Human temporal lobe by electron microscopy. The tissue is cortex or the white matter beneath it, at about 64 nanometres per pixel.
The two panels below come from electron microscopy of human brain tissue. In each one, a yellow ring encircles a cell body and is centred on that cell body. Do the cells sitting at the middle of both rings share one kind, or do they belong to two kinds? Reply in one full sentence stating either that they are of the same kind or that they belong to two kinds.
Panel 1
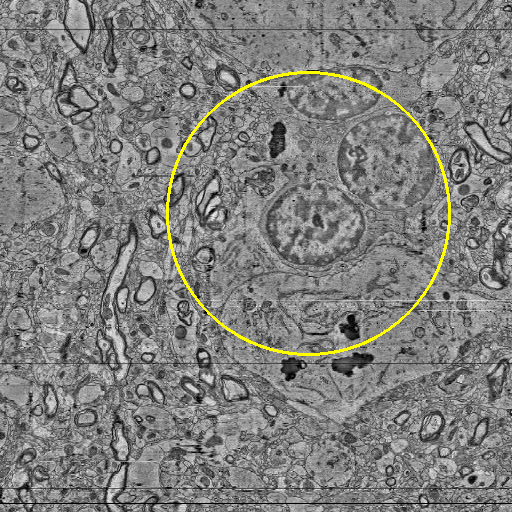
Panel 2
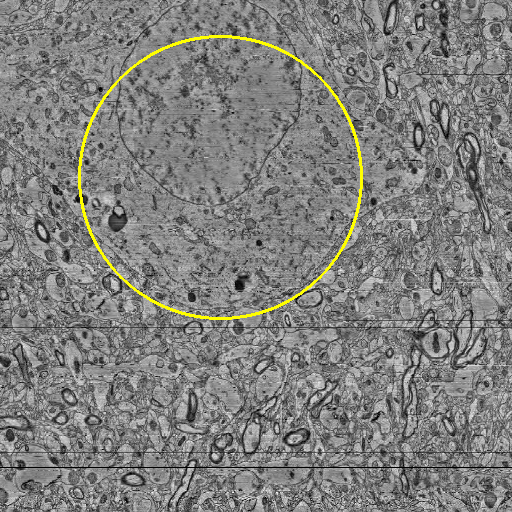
The cells at the centres of the two rings belong to two kinds.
